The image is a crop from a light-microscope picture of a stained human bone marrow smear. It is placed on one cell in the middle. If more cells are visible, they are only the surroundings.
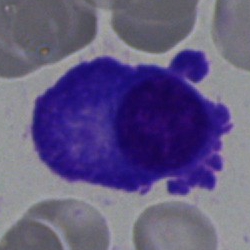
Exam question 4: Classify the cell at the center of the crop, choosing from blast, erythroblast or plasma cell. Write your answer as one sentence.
Among the cells in view, the one in the middle is a plasma cell.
